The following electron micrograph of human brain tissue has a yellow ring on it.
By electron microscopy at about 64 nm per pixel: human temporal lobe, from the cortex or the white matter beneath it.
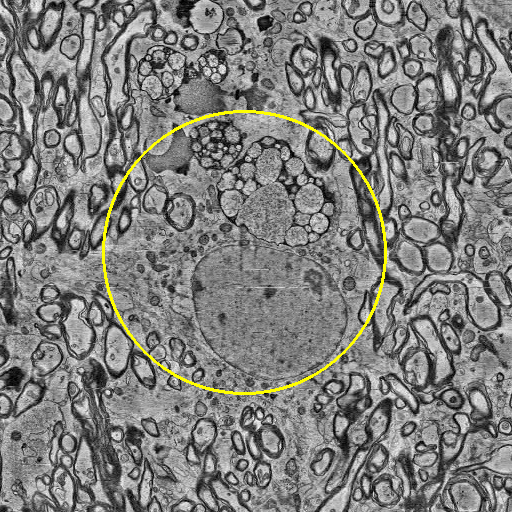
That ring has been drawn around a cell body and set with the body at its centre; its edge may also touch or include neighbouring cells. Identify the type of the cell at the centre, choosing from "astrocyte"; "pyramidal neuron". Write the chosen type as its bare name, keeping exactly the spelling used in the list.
astrocyte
